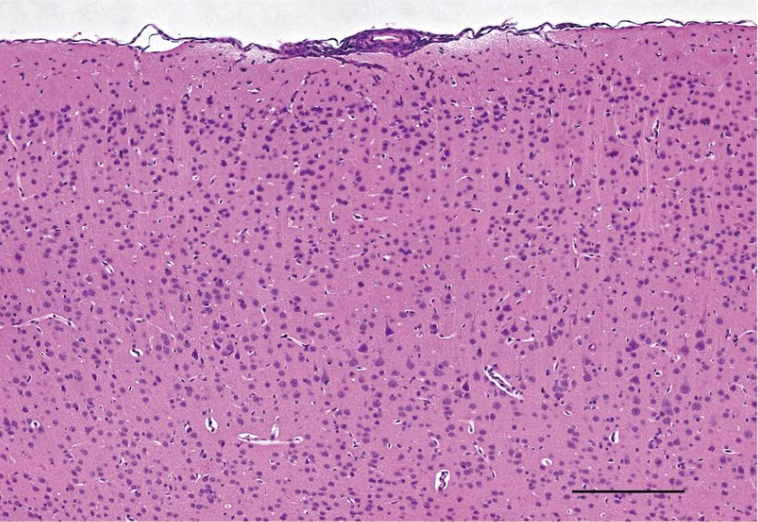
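This is the outer part of the cerebral cortex, stained pink and purple, with its surface running along the top. Just beneath it lies a pale band of pink, finely fibrous neuropil with only scattered nuclei. Deeper down, neuronal cell bodies become numerous, with round purple nuclei set in pink neuropil; several have a triangular, pyramidal shape with a process directed toward the surface. Small blood vessels appear as narrow clear slits and loops. The tissue looks intact, with no obvious area of cell loss or disruption.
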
